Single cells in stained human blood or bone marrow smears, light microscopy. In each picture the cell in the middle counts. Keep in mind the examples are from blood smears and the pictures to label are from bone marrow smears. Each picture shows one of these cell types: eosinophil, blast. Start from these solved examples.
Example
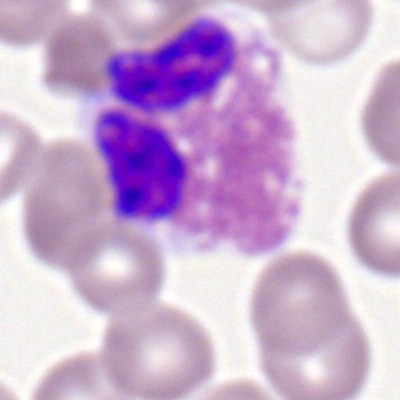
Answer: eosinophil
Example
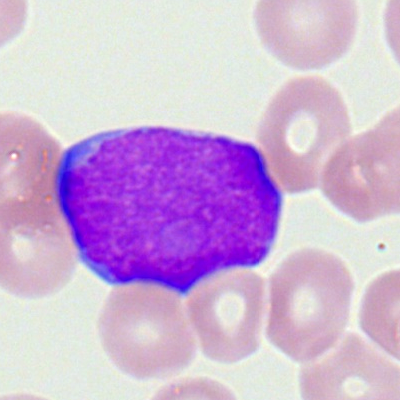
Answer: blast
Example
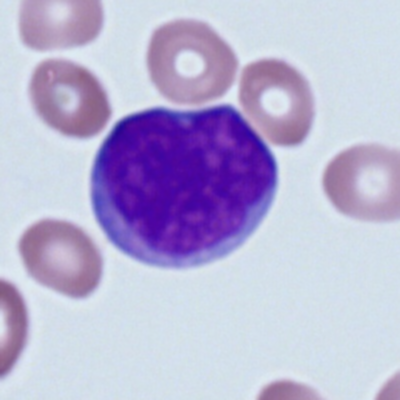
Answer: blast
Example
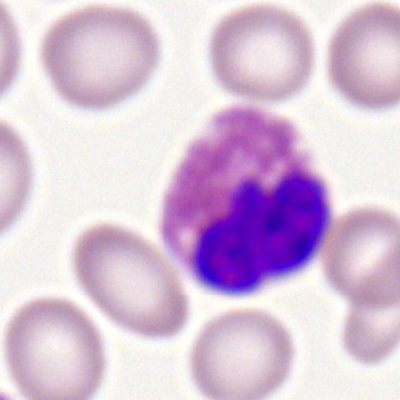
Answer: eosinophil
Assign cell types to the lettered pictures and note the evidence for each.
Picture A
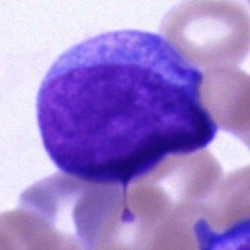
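blast. Evidence: The cytoplasm is a scant rim of deep blue, seen mainly along the upper edge.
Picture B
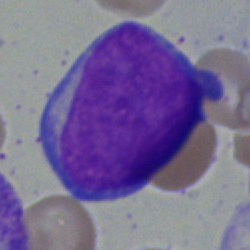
blast. Evidence: The cytoplasm is a scant, deep blue rim around the nucleus.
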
